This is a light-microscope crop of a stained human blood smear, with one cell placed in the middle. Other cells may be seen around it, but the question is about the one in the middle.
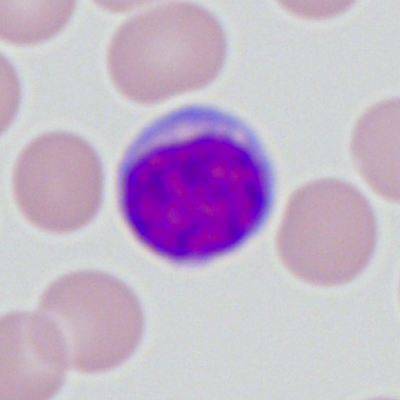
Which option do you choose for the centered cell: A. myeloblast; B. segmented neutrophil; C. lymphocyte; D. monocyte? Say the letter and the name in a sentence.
Option C is the correct selection, for the cell at the centre is a lymphocyte.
